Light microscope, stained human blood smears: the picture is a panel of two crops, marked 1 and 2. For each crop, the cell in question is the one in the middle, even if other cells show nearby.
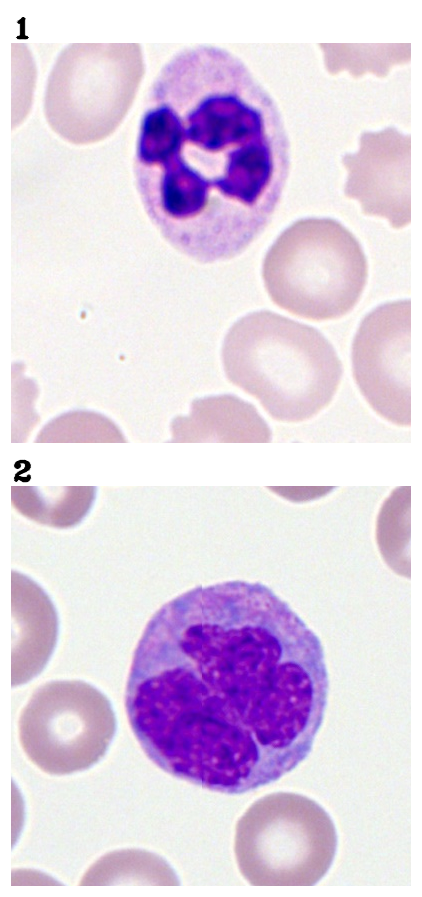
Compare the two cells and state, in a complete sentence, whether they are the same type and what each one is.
No, what crop 1 shows is a segmented neutrophil, and what crop 2 shows is a monocyte.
